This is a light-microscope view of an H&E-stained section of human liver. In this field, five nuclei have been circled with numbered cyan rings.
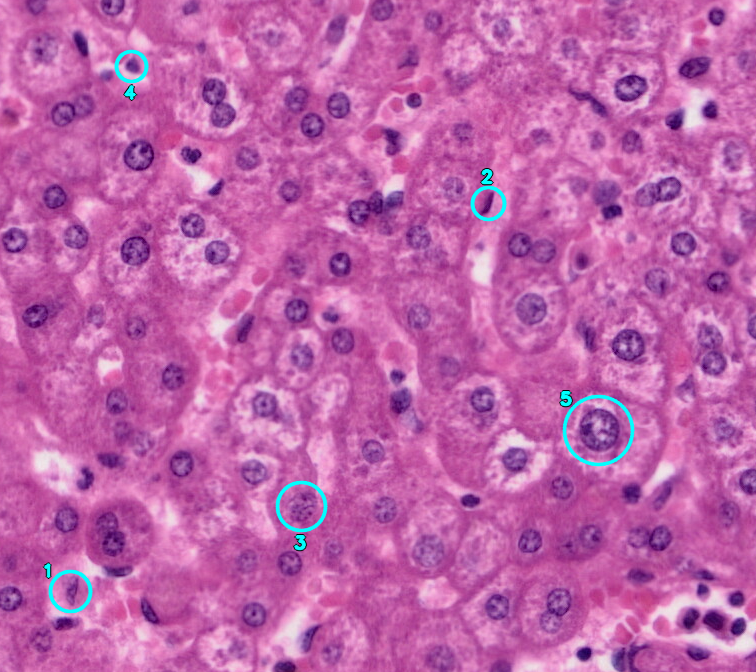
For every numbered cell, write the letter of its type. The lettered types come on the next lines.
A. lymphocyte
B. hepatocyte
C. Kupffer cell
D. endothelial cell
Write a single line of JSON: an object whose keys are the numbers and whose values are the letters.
{"1": "C", "2": "D", "3": "B", "4": "A", "5": "B"}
